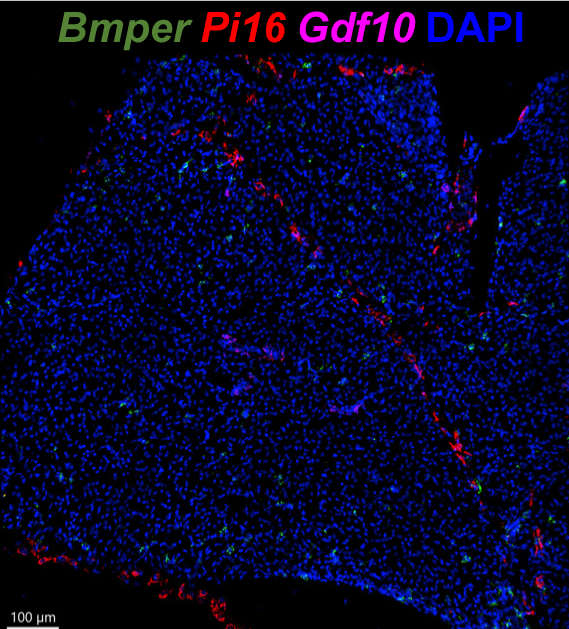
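This fluorescence image of a brown fat section shows densely packed blue nuclei throughout the tissue. Red signal forms elongated streaks that run as lines across the section and along its outer edge. Green dots are scattered widely among the nuclei. Small pink patches appear in a few places within the tissue.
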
